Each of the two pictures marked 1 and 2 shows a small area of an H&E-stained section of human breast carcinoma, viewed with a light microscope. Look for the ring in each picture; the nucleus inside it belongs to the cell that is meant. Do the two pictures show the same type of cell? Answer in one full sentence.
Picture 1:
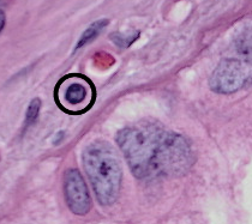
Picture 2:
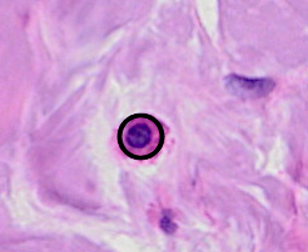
Yes, they are the same type: both are mast cells.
